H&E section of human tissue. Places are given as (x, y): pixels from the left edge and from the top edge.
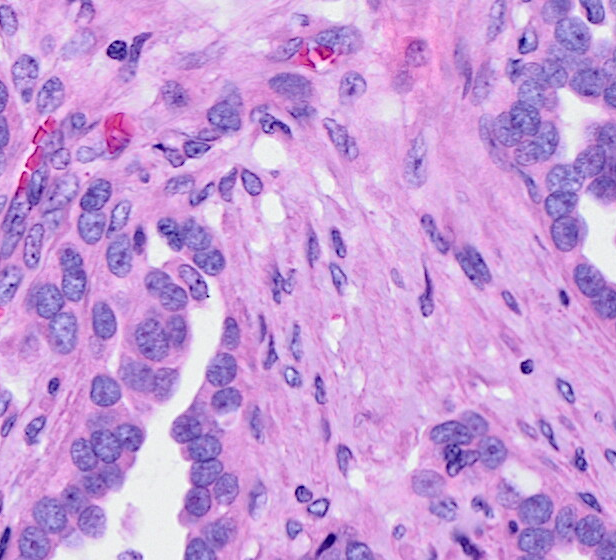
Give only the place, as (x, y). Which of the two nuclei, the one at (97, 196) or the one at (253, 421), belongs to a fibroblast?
(253, 421)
